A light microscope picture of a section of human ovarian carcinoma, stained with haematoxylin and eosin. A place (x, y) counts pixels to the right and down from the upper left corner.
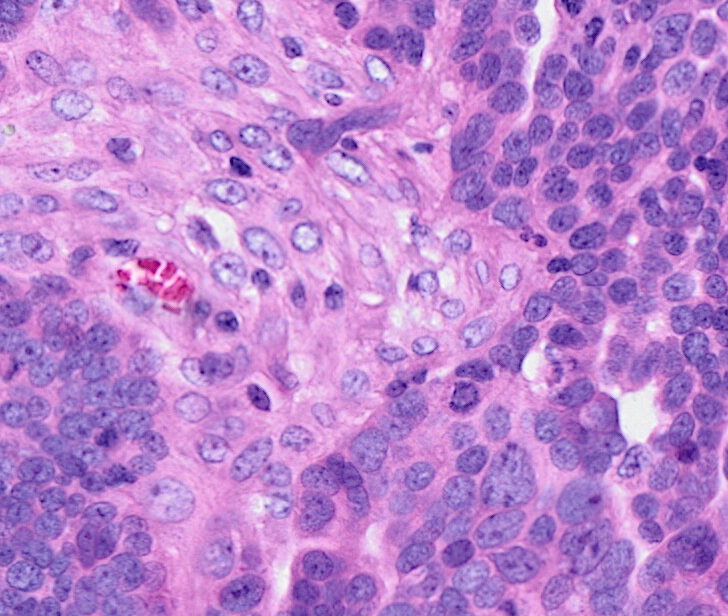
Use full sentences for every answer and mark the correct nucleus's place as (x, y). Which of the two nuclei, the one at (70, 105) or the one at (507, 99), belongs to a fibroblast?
The nucleus belonging to a fibroblast is the one at (70, 105).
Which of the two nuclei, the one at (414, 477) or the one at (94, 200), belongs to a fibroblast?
The nucleus at (94, 200), rather than the other, belongs to a fibroblast.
